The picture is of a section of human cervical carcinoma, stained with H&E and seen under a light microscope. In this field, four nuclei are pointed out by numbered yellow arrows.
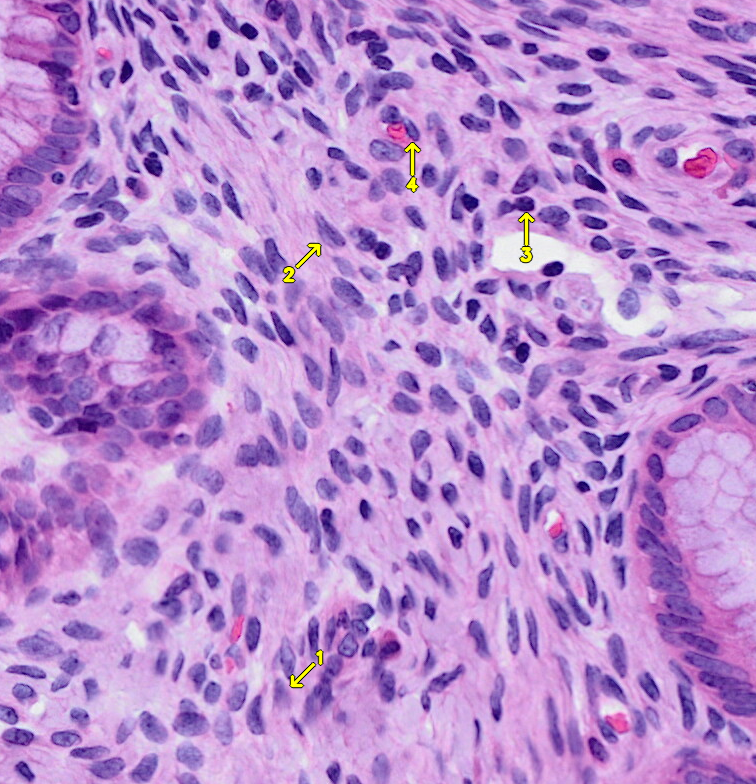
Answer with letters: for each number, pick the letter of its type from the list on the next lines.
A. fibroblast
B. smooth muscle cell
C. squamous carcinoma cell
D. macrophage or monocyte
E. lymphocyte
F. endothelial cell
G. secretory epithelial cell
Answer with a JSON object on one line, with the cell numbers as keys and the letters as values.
{"1": "A", "2": "A", "3": "E", "4": "F"}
